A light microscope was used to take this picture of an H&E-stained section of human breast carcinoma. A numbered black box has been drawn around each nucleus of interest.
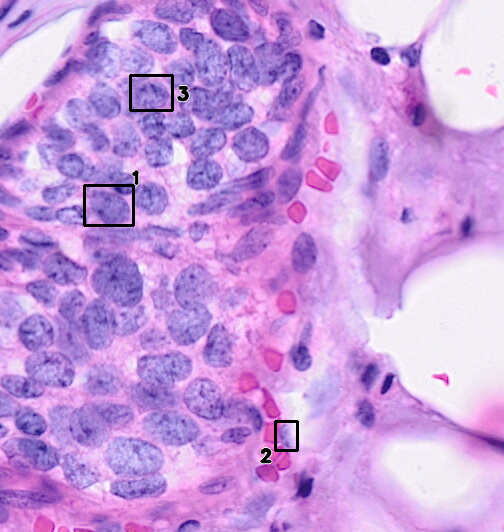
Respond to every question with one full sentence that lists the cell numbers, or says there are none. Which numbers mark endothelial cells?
Unlike the other numbered cells, cell 2 is an endothelial cell.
